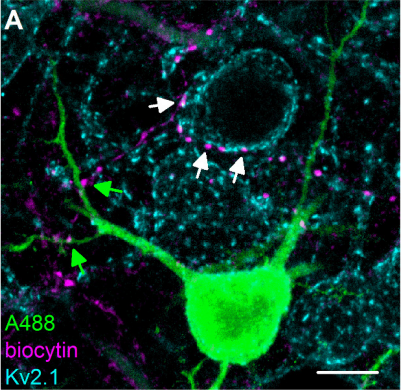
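This is a fluorescence image of neural tissue in which the perisomatic region of several neurons is outlined by blue punctate labeling and one neuron is filled in green. The green-filled cell body sits at the bottom center and gives rise to dendrites that extend upward and to the sides. Above it, a large round cell body is outlined by a ring of blue puncta, and other blue-outlined somata and proximal dendrites surround it. Magenta puncta, the boutons of the labeled axon, are scattered through the field; some lie on the blue rim of the upper cell body, marked by white arrows, and others touch the green dendrite, marked by green arrows.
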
